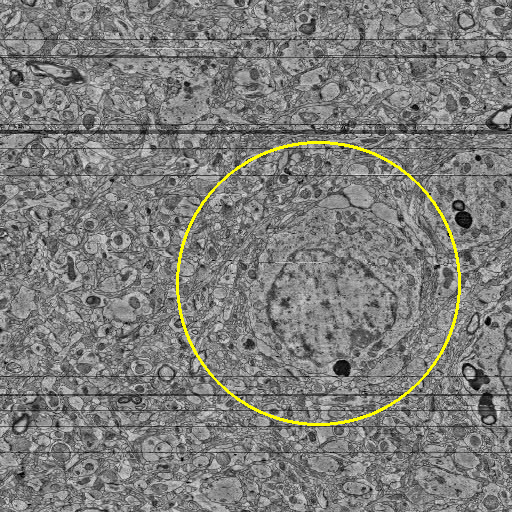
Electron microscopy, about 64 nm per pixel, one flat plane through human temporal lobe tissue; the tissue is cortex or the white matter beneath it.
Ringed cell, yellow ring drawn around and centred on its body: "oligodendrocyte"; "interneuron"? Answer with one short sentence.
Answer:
This ringed cell is an interneuron.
